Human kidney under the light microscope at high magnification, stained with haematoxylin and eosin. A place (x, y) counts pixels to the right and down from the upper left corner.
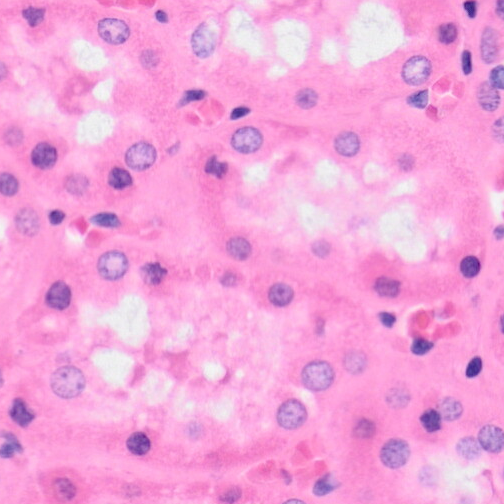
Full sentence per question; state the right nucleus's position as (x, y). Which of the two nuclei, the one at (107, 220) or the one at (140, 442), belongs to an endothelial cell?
Housed in an endothelial cell is the nucleus at (107, 220), not the other one.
